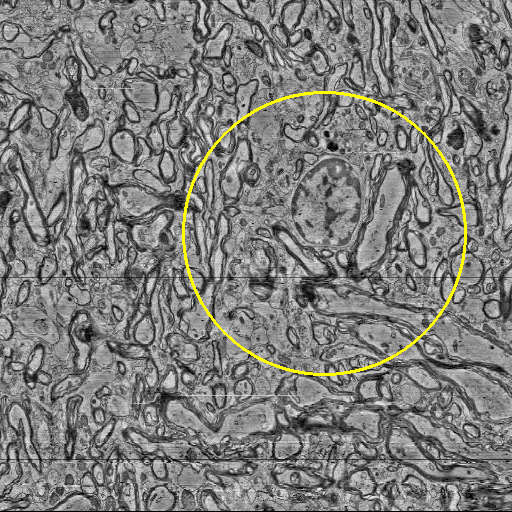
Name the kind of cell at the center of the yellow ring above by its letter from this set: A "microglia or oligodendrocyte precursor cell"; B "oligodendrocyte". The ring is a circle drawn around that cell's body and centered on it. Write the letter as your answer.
A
